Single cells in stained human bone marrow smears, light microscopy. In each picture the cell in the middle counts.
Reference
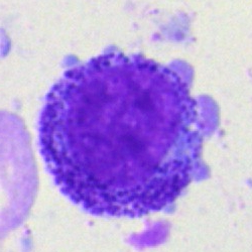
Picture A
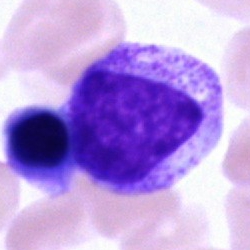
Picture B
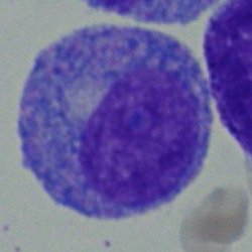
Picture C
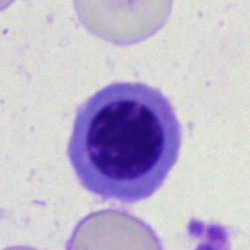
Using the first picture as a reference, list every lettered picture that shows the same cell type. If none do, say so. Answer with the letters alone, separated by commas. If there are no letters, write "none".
B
